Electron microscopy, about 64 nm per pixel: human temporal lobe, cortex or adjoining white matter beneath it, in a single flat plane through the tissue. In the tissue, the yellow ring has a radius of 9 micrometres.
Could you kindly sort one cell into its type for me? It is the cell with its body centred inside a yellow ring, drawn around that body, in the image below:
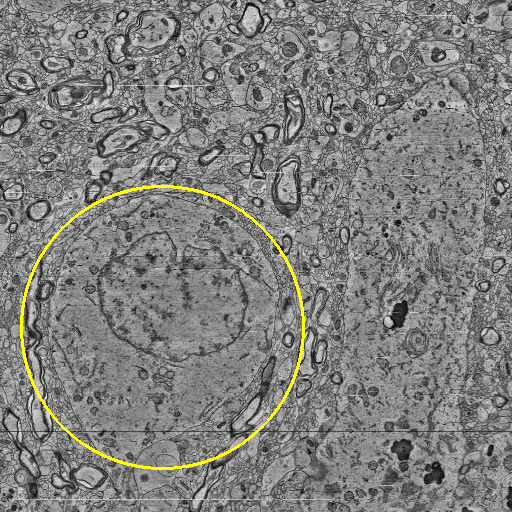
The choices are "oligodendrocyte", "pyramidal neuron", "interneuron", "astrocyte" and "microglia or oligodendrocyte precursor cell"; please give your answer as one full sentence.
The cell whose body lies centred in the yellow ring here is an interneuron.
